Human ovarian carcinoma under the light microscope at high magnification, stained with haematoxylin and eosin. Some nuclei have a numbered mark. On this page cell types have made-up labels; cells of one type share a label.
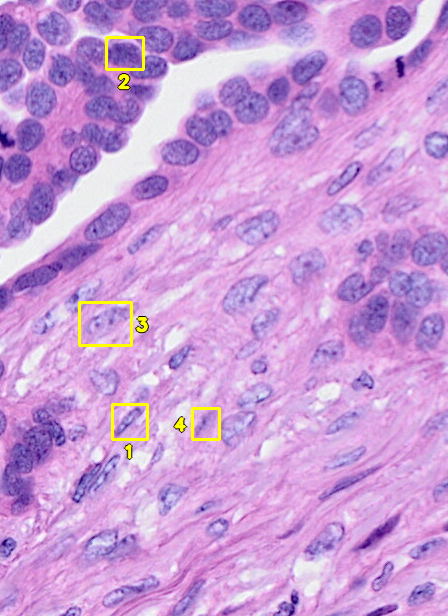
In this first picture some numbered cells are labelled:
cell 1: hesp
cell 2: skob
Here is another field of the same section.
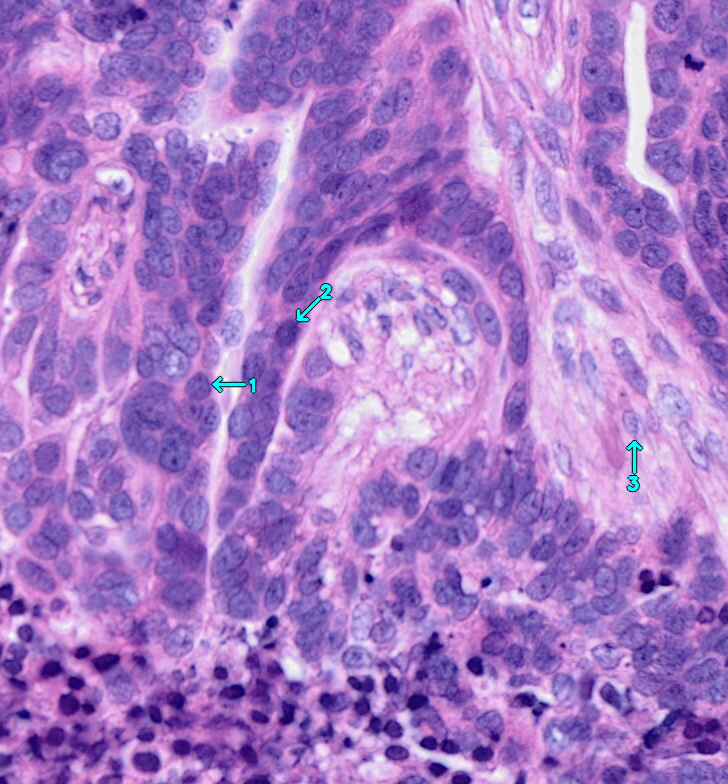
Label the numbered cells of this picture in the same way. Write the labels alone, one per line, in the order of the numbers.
skob
skob
hesp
